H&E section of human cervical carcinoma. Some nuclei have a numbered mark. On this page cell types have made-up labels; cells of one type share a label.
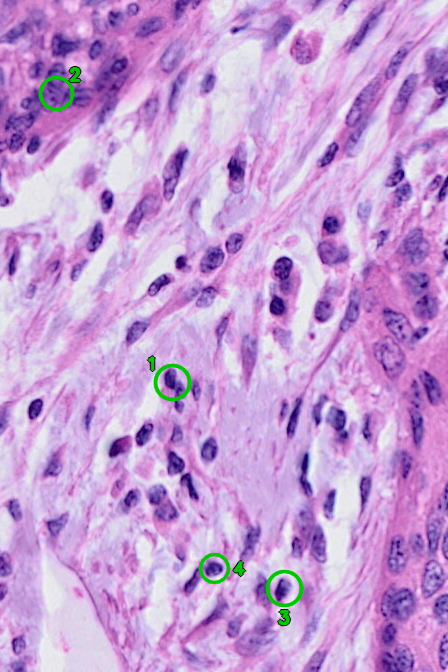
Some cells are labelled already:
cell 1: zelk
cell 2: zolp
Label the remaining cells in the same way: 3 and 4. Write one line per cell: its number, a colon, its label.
3: zelk
4: zelk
